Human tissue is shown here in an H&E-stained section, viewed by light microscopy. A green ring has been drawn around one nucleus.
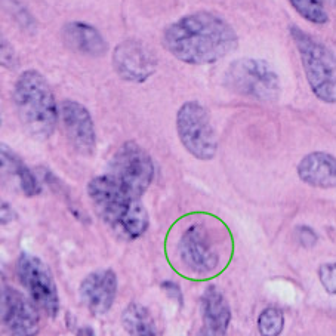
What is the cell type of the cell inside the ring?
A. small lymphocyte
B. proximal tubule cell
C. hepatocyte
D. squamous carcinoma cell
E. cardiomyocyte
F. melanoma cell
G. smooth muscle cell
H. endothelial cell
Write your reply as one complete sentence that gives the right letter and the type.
In this case the cell inside the ring is a squamous carcinoma cell, so option D is correct.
